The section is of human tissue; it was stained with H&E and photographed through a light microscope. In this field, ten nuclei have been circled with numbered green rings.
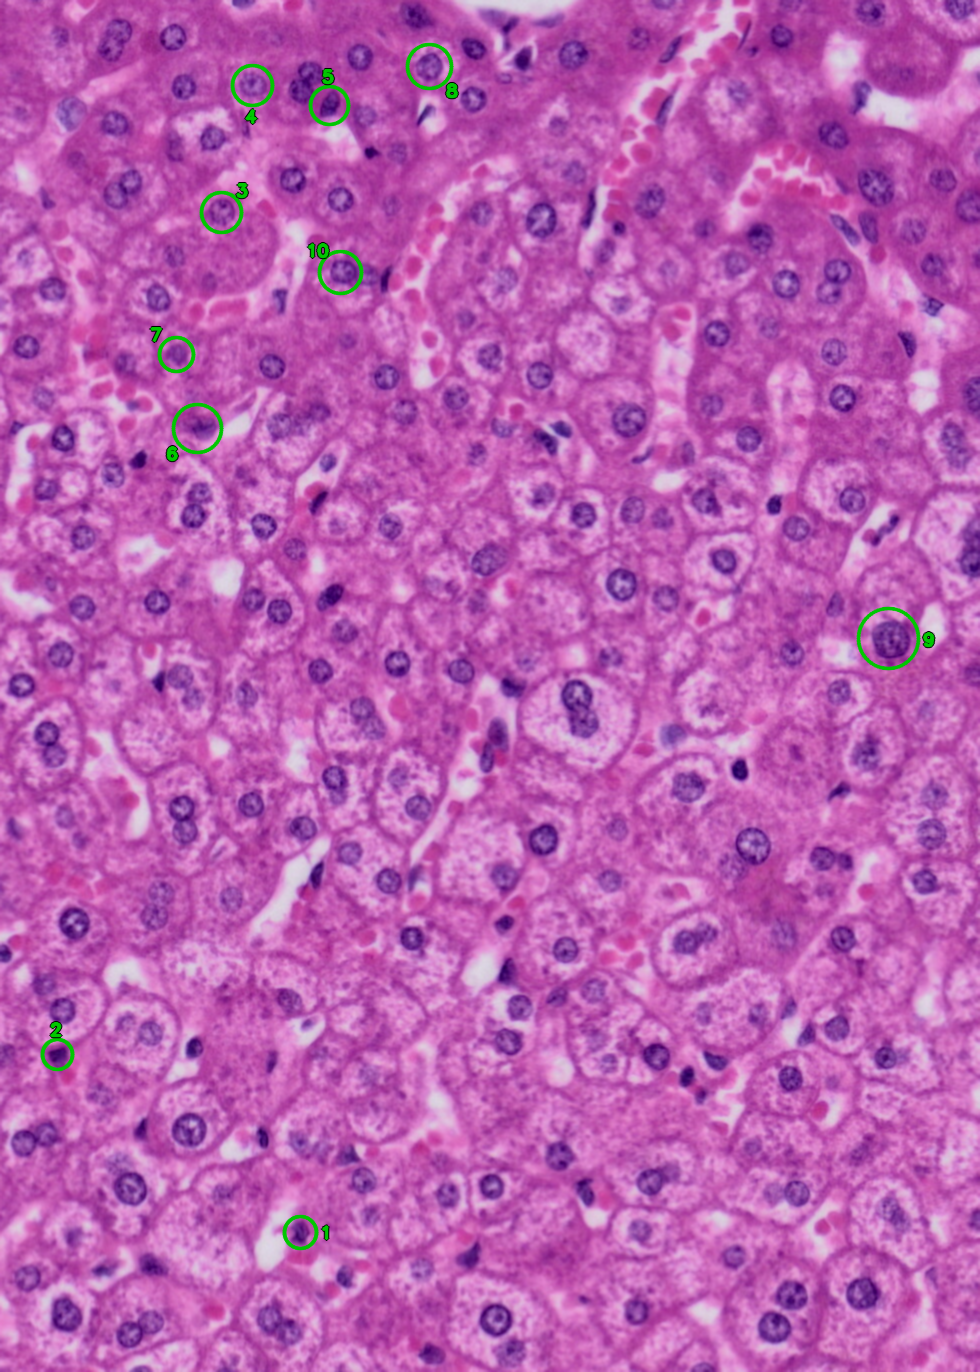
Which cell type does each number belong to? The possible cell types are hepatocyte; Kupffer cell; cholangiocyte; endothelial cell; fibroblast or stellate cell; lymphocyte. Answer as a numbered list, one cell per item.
1. Kupffer cell
2. fibroblast or stellate cell
3. hepatocyte
4. hepatocyte
5. fibroblast or stellate cell
6. Kupffer cell
7. hepatocyte
8. hepatocyte
9. hepatocyte
10. hepatocyte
